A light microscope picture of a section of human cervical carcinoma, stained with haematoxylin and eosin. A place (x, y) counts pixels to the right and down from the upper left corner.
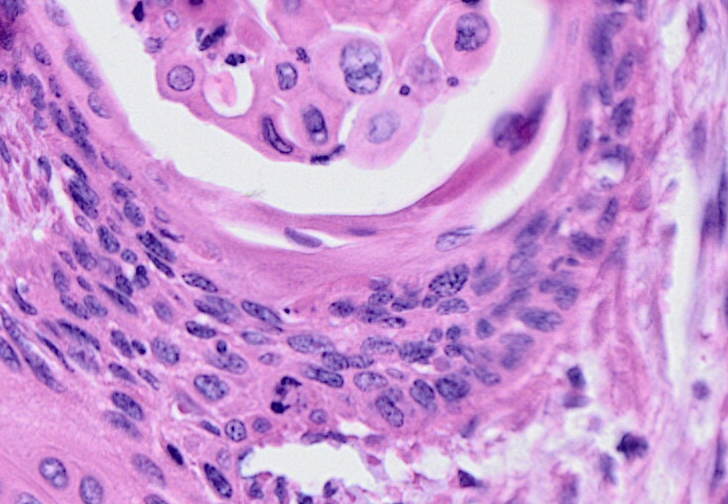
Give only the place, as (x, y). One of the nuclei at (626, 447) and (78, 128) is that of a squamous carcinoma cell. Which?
(78, 128)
